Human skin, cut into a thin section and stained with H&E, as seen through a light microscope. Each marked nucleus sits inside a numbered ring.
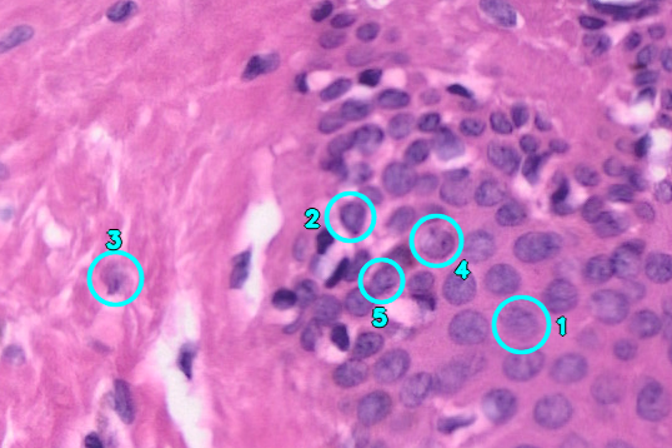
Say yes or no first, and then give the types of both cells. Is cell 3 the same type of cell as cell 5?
No, cell 3 is a fibroblast and cell 5 is a basal keratinocyte.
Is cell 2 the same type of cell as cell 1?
No, cell 2 is a basal keratinocyte and cell 1 is a suprabasal keratinocyte.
